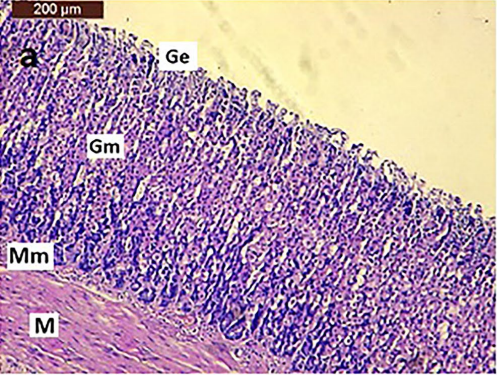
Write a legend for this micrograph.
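Gastric mucosa in which tall, tightly packed glands run in parallel straight up from the base to the luminal surface. The glands are lined by cells with round, deep blue-purple nuclei and pinkish to pale cytoplasm, so the whole mucosa looks densely purple. The surface lining forms an even, continuous border along the top. At the base of the glands lies a thin pink band, the muscularis mucosa, and beneath it a broader pale pink layer of elongated fibres. There are no gaps, breaks or clusters of extra cells between the glands, and no red-filled vessels stand out.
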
